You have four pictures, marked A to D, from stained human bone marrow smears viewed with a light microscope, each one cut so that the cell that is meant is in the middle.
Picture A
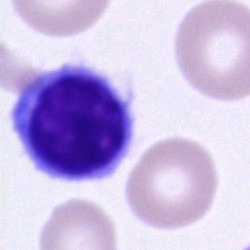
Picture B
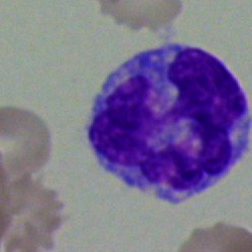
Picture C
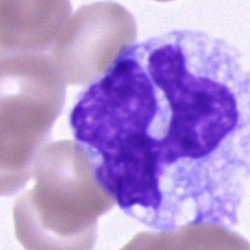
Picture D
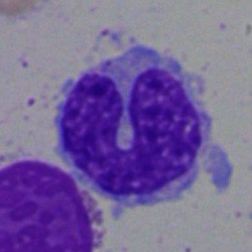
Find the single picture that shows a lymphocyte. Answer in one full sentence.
Picture A shows the lymphocyte.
